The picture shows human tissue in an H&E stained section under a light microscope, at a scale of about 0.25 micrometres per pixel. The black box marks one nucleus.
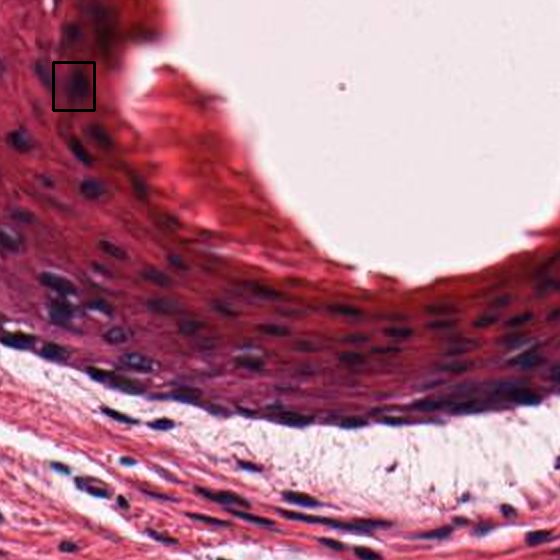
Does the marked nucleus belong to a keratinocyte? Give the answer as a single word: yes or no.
yes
